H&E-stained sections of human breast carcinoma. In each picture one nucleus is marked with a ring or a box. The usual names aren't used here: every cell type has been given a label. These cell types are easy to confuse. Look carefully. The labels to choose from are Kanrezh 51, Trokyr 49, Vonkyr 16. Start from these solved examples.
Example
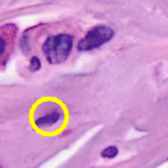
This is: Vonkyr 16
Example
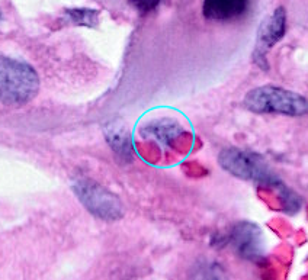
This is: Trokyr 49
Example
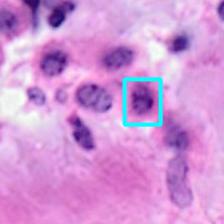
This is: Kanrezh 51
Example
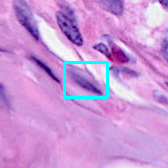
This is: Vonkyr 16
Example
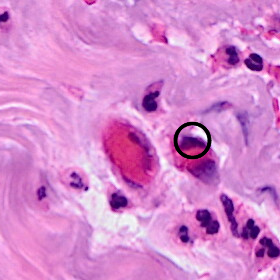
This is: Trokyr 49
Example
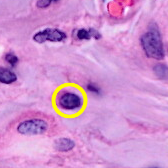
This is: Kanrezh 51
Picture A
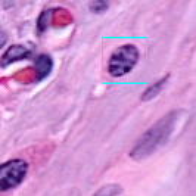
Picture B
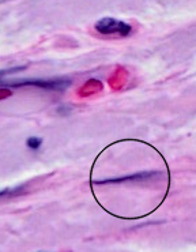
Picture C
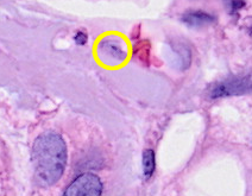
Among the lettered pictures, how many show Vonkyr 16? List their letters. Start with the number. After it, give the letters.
1, namely B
